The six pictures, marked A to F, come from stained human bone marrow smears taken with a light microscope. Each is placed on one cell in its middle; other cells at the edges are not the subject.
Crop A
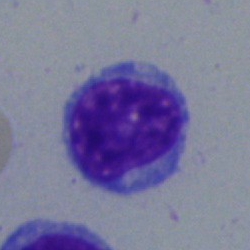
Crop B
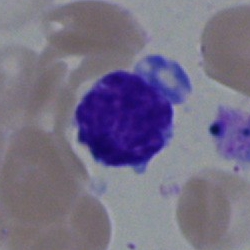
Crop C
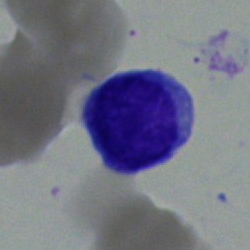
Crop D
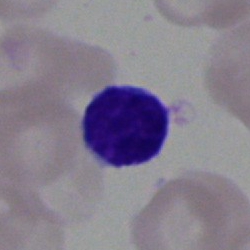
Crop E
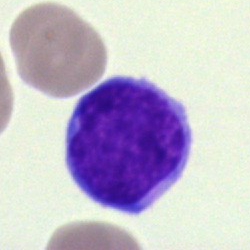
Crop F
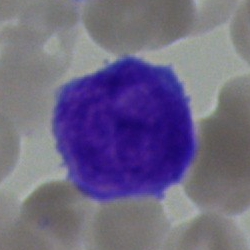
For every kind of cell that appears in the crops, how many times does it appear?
lymphocyte: 5
blast: 1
